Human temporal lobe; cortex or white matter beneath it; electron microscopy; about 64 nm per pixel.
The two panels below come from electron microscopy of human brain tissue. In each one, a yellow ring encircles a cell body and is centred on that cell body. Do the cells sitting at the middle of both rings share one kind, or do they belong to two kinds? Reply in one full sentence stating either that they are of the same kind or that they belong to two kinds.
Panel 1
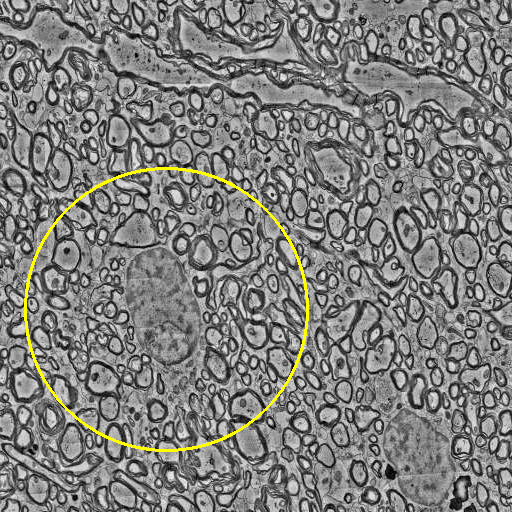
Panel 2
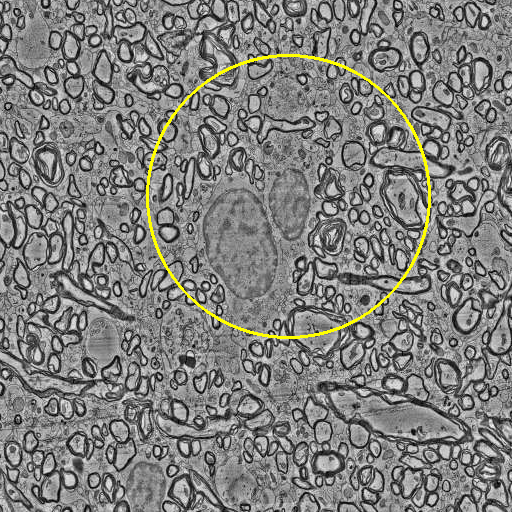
The cells at the centres of the two rings are of the same kind.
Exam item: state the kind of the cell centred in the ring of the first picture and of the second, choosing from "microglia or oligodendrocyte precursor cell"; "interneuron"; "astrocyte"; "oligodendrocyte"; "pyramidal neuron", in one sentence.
Both rings mark an oligodendrocyte, one in each picture.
